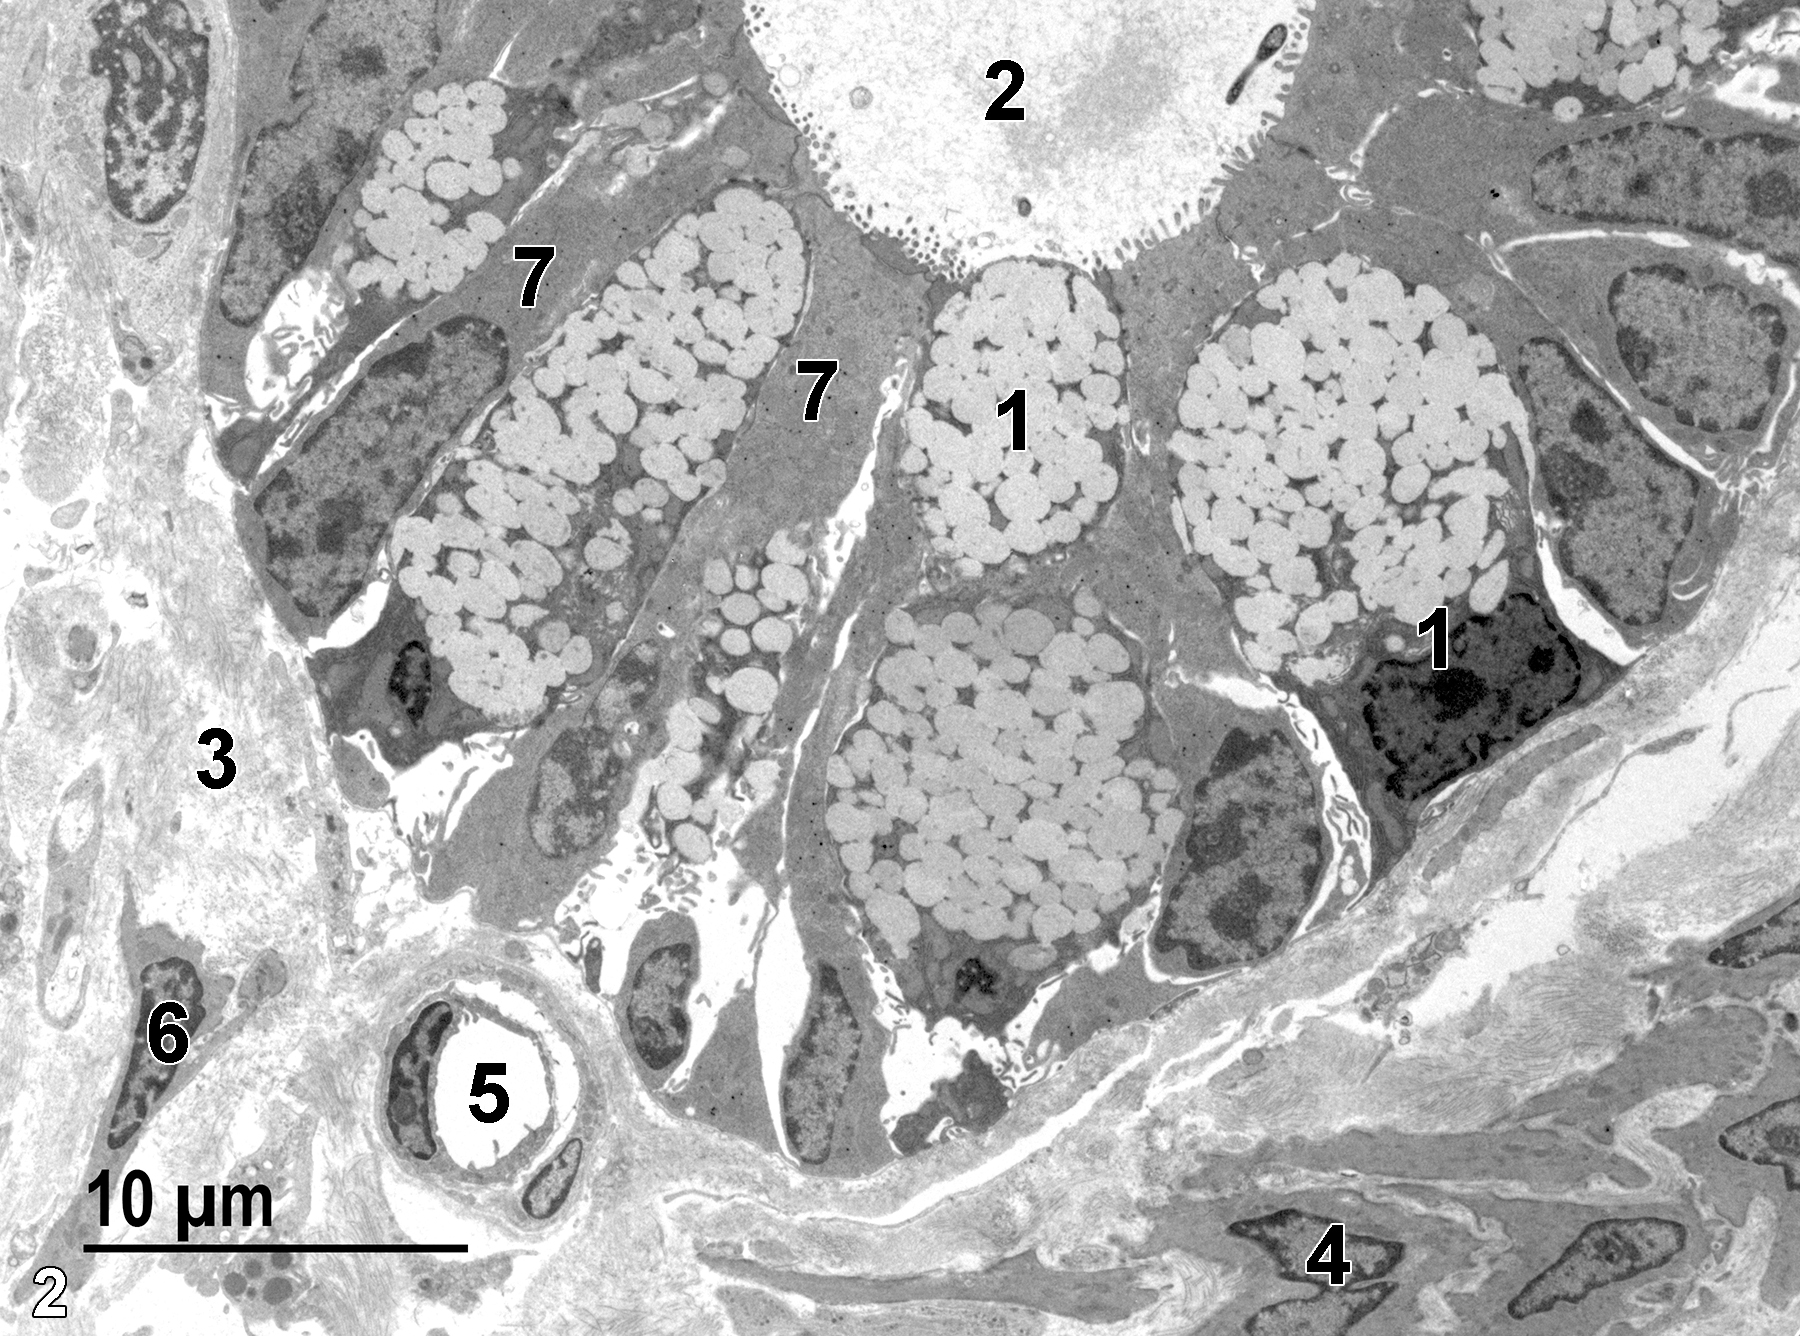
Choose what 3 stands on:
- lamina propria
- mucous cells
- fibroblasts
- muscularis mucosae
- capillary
lamina propria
